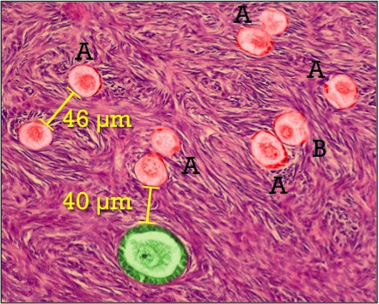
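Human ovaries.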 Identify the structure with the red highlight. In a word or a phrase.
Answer: Resting follicles.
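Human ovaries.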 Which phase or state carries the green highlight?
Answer: Early growing follicle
